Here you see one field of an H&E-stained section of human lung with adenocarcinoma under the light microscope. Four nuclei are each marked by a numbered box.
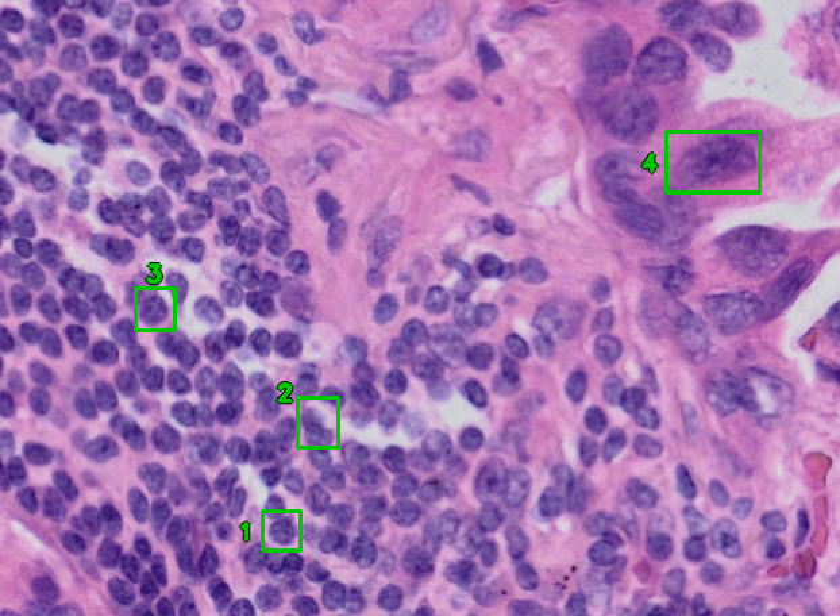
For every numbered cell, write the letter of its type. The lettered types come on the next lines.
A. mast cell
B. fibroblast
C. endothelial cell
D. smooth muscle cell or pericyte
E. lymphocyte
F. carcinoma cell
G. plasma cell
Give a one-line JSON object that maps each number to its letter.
{"1": "E", "2": "E", "3": "E", "4": "F"}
